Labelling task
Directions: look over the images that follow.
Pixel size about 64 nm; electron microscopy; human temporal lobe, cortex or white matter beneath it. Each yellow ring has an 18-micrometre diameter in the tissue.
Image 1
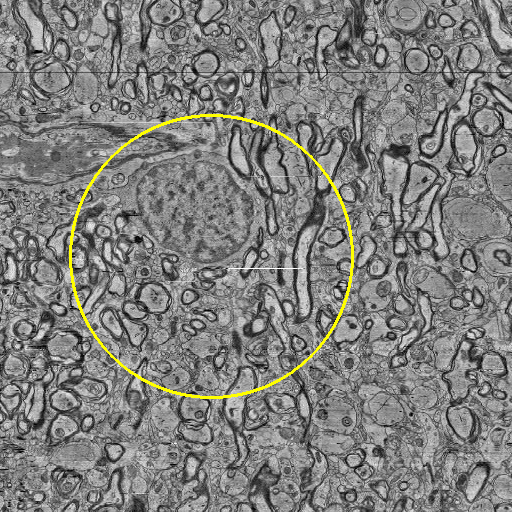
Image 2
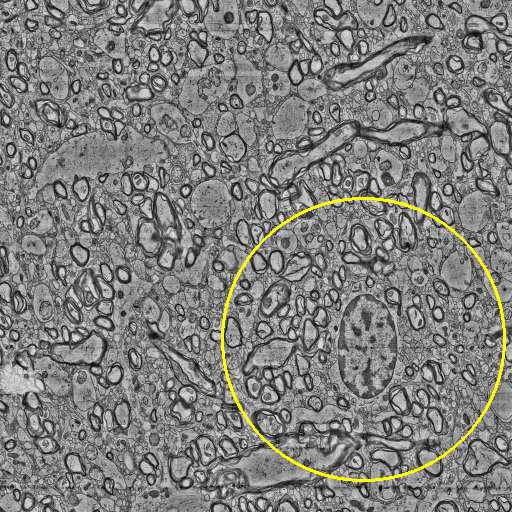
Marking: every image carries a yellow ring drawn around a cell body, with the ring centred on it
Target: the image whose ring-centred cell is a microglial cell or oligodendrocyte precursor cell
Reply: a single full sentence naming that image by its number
The requested cell sits at the ring's centre in Image 2.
